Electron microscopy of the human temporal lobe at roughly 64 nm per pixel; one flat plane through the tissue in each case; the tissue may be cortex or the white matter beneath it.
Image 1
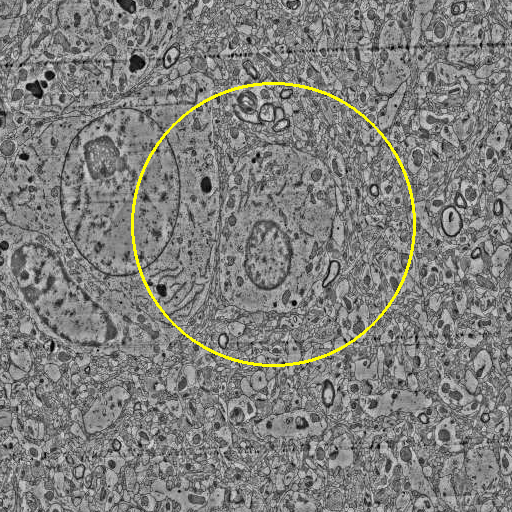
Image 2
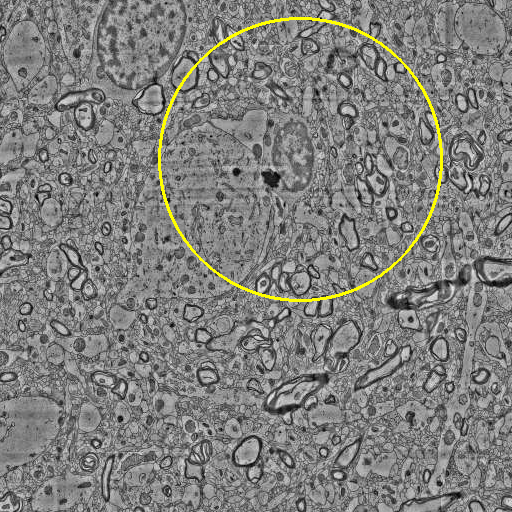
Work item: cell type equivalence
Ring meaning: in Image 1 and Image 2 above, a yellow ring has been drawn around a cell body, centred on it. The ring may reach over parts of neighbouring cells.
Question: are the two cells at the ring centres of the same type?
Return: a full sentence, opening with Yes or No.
No, the two centred cells are of two types.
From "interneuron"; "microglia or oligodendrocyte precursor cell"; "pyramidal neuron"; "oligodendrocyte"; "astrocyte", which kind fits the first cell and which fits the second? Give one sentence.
The cell marked in the first picture is a pyramidal neuron, and the one marked in the second is an oligodendrocyte.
